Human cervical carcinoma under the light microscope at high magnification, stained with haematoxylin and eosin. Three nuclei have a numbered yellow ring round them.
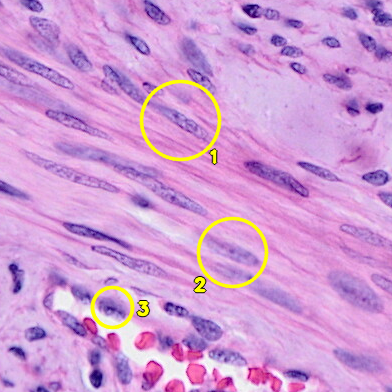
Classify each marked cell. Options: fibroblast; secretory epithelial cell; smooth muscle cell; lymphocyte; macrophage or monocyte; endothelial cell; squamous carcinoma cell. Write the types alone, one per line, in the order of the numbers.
smooth muscle cell
smooth muscle cell
endothelial cell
